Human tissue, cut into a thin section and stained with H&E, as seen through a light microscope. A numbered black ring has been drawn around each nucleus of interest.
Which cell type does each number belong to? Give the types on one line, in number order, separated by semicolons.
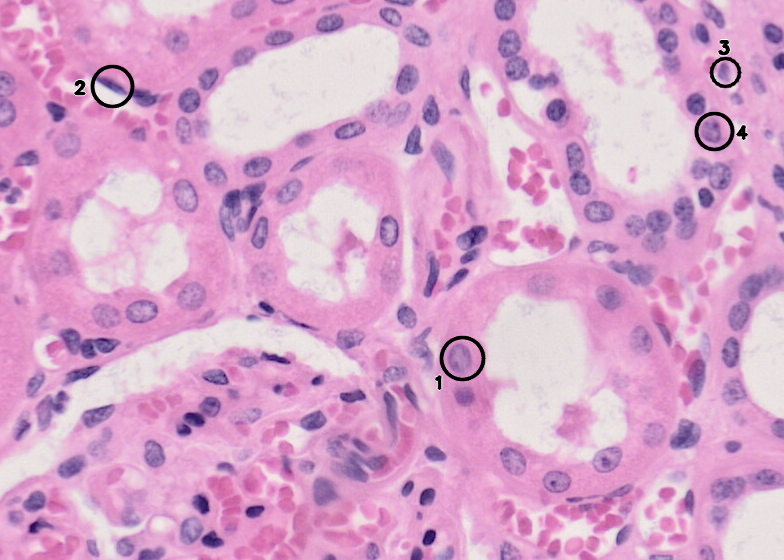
proximal tubule cell; endothelial cell; endothelial cell; collecting duct cell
